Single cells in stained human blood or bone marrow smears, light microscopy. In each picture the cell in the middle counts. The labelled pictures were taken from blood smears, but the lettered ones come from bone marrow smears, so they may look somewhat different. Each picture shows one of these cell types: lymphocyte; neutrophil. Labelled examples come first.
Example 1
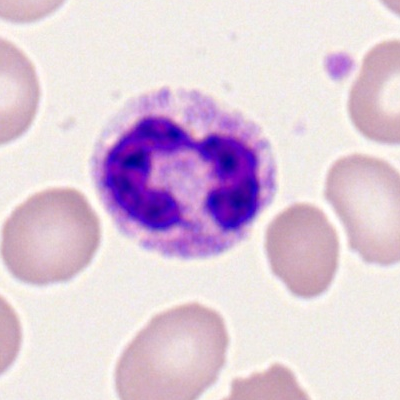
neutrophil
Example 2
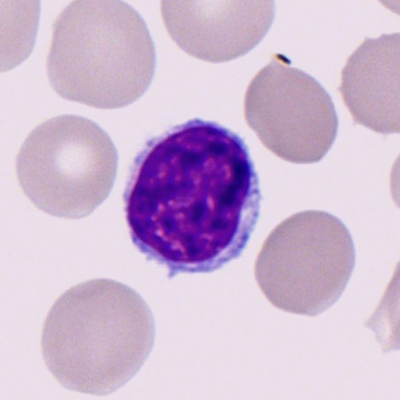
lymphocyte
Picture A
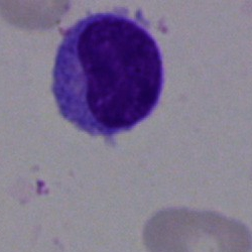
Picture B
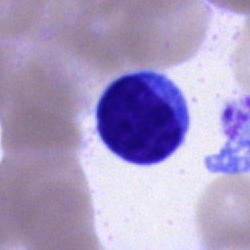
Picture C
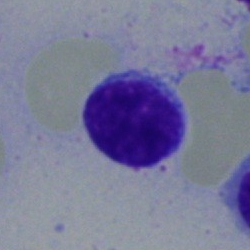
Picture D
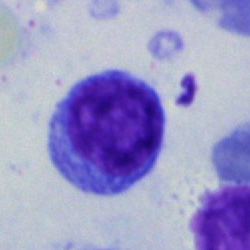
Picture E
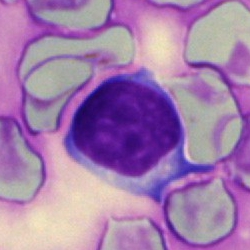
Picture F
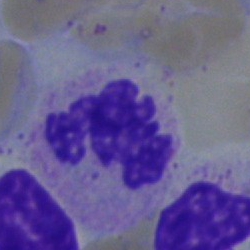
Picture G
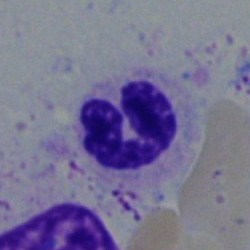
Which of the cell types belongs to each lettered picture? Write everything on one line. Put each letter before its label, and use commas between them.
A lymphocyte, B lymphocyte, C lymphocyte, D lymphocyte, E lymphocyte, F neutrophil, G neutrophil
